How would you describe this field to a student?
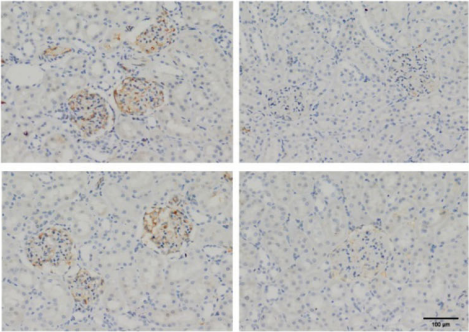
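Four fields of renal cortex show round glomeruli set among cross-sectioned tubules. The tubules are lined by cuboidal epithelium with round blue nuclei and pale cytoplasm around small lumens. Brown stain is confined mainly to the glomerular tufts, where it outlines cells along the capillary loops in a granular pattern; the surrounding tubules and interstitium remain largely unstained. In the two left fields, several glomeruli are strongly and extensively brown, while in the two right fields the glomeruli are only faintly stained and appear mostly blue with their nuclei.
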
